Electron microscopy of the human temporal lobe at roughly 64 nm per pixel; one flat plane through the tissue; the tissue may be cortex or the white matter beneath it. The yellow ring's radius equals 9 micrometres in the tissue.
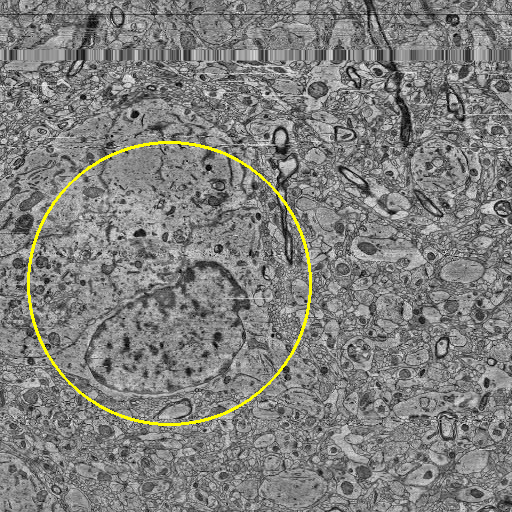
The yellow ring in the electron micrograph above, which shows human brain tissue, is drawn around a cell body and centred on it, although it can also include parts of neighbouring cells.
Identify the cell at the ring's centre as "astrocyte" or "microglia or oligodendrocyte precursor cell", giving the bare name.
microglia or oligodendrocyte precursor cell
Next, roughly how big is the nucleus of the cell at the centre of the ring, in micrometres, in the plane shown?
Approximately 11 micrometres long and 8 micrometres wide, in this plane.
